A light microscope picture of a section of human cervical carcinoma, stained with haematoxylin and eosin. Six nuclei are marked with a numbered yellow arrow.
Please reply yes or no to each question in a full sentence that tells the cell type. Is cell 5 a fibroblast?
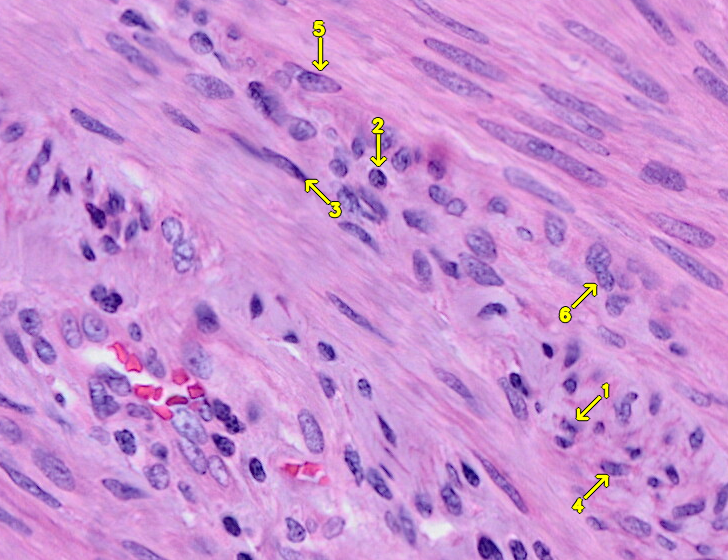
No, it is a smooth muscle cell, not a fibroblast, at number 5.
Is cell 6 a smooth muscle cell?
Yes, the cell distinguished by number 6 is a smooth muscle cell.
